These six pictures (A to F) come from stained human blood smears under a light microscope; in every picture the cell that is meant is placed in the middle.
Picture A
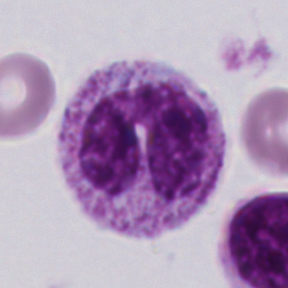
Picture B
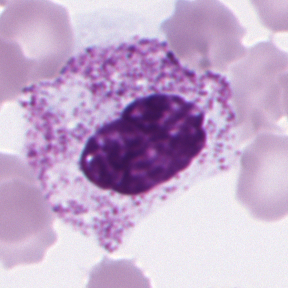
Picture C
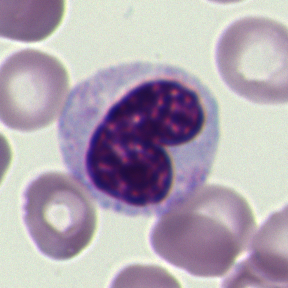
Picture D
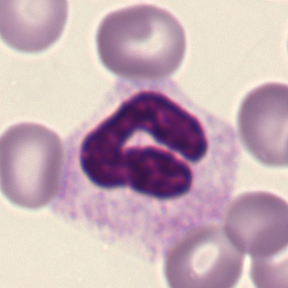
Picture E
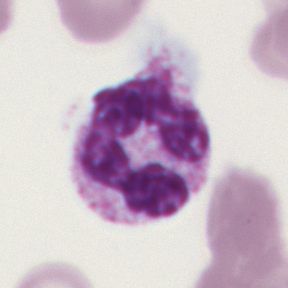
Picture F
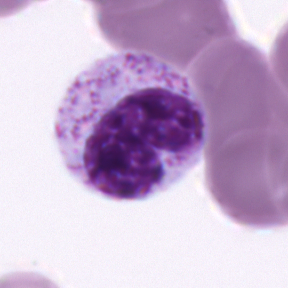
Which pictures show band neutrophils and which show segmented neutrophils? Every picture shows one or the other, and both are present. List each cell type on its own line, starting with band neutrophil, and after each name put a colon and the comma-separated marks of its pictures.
band neutrophil: A, B, C, F
segmented neutrophil: D, E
